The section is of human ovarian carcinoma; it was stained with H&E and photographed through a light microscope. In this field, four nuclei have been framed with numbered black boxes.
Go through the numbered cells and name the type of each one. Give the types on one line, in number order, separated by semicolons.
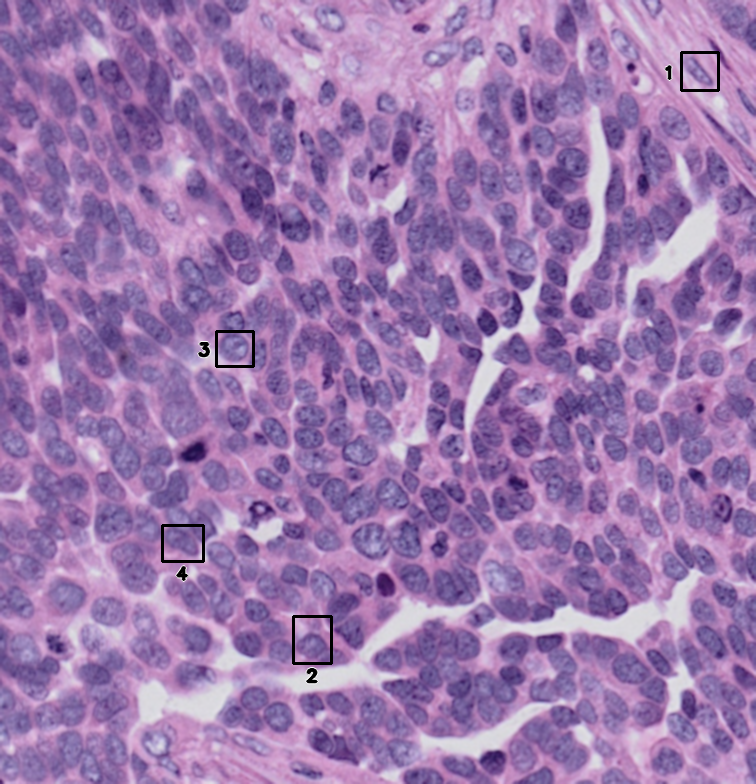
fibroblast; carcinoma cell; carcinoma cell; carcinoma cell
